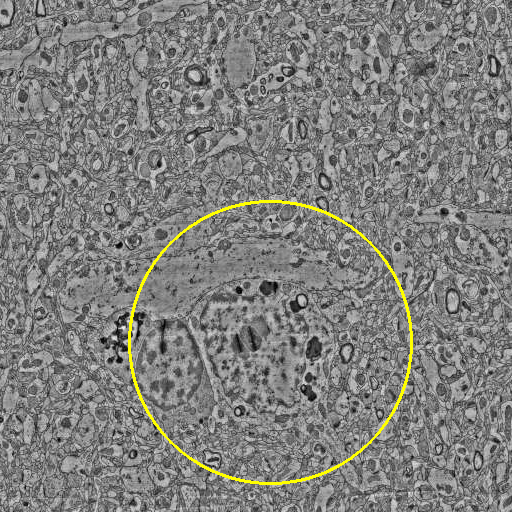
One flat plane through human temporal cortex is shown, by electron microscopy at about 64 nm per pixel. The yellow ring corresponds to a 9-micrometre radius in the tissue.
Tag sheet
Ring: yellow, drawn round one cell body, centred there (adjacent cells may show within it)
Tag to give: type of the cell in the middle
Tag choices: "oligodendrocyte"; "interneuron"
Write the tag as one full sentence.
I tag the cell centred in the yellow ring as an interneuron in this picture.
